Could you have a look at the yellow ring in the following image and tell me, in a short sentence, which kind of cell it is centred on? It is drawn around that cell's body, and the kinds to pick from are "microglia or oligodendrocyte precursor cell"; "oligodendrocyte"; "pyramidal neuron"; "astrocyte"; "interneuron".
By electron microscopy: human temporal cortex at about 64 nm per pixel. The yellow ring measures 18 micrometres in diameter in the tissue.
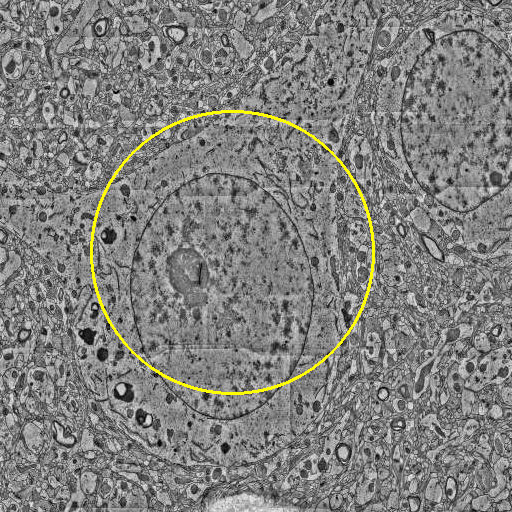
The ring is centred on the body of a pyramidal neuron.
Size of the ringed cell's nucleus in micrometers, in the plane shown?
The nucleus measures about 16 by 12 micrometres in this plane.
